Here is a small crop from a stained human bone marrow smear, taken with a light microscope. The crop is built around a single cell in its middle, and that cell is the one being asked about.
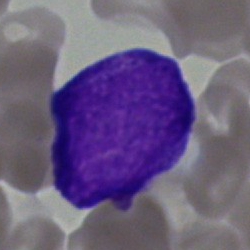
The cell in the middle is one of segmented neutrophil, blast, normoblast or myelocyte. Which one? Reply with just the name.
blast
